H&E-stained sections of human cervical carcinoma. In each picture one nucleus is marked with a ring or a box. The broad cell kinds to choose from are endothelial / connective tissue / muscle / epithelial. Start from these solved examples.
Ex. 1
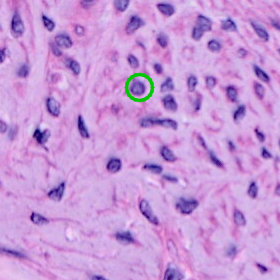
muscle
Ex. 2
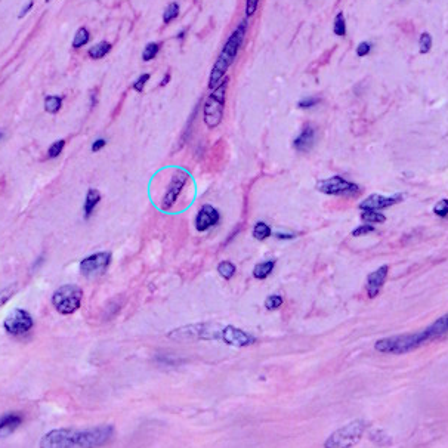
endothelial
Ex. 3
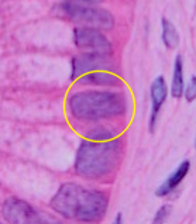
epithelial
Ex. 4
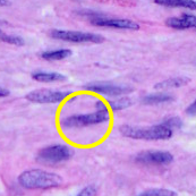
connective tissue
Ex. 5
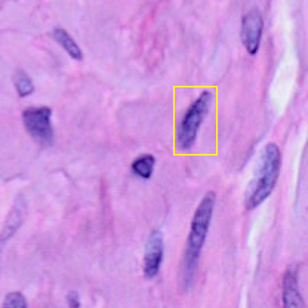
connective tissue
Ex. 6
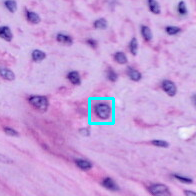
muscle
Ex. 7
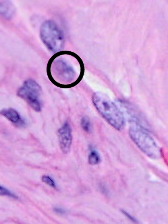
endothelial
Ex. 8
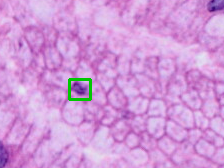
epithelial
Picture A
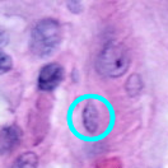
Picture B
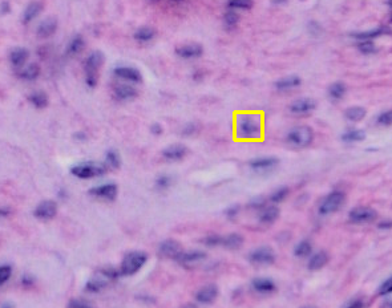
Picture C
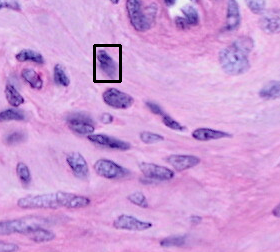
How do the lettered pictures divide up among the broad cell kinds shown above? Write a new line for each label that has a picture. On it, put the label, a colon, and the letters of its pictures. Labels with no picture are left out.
endothelial: A
connective tissue: C
muscle: B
